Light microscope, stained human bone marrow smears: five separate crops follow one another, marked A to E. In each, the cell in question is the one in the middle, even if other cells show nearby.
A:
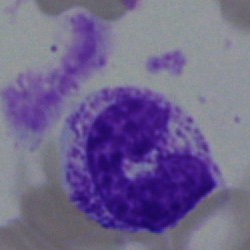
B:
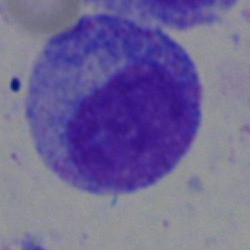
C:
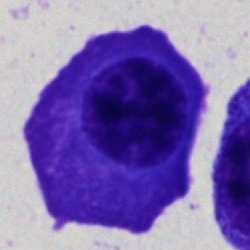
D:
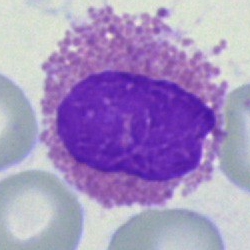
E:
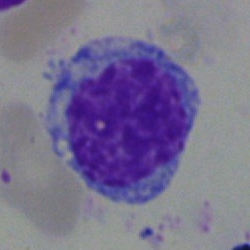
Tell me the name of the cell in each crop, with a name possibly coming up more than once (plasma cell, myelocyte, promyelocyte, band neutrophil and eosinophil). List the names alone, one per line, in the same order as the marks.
band neutrophil
promyelocyte
plasma cell
eosinophil
plasma cell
